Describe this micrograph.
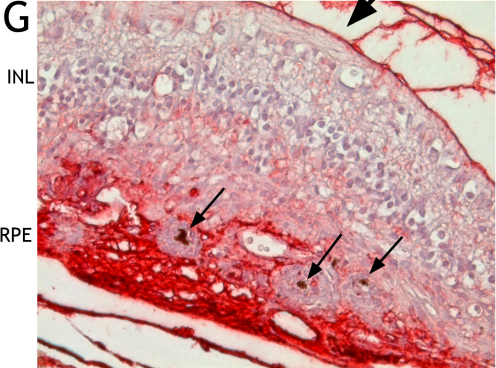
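This is a retina scarred together with the choroid beneath it. In the upper part, many round purple nuclei sit in a pale pink matrix with scattered clear vacuoles, and the normal layering is lost. Toward the bottom, the retina merges without a boundary into a dense, intensely red fibrous layer. Several small cells with dark brown pigment lie embedded in the scar. Each pigmented cell is surrounded by a paler cluster of cells that stains little red. Thin red strands also line the upper surface of the tissue.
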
